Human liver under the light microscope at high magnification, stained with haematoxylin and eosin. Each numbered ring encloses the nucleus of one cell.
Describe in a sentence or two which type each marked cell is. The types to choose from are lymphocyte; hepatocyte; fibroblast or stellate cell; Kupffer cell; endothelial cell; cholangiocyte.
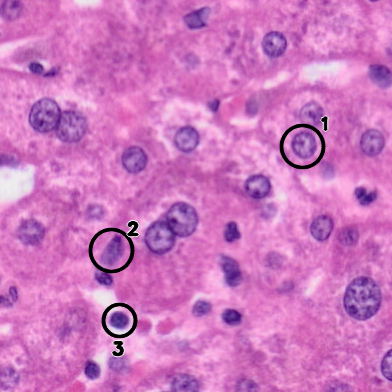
Cell 1 is a hepatocyte, cell 2 is a fibroblast or stellate cell and cell 3 is a lymphocyte.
